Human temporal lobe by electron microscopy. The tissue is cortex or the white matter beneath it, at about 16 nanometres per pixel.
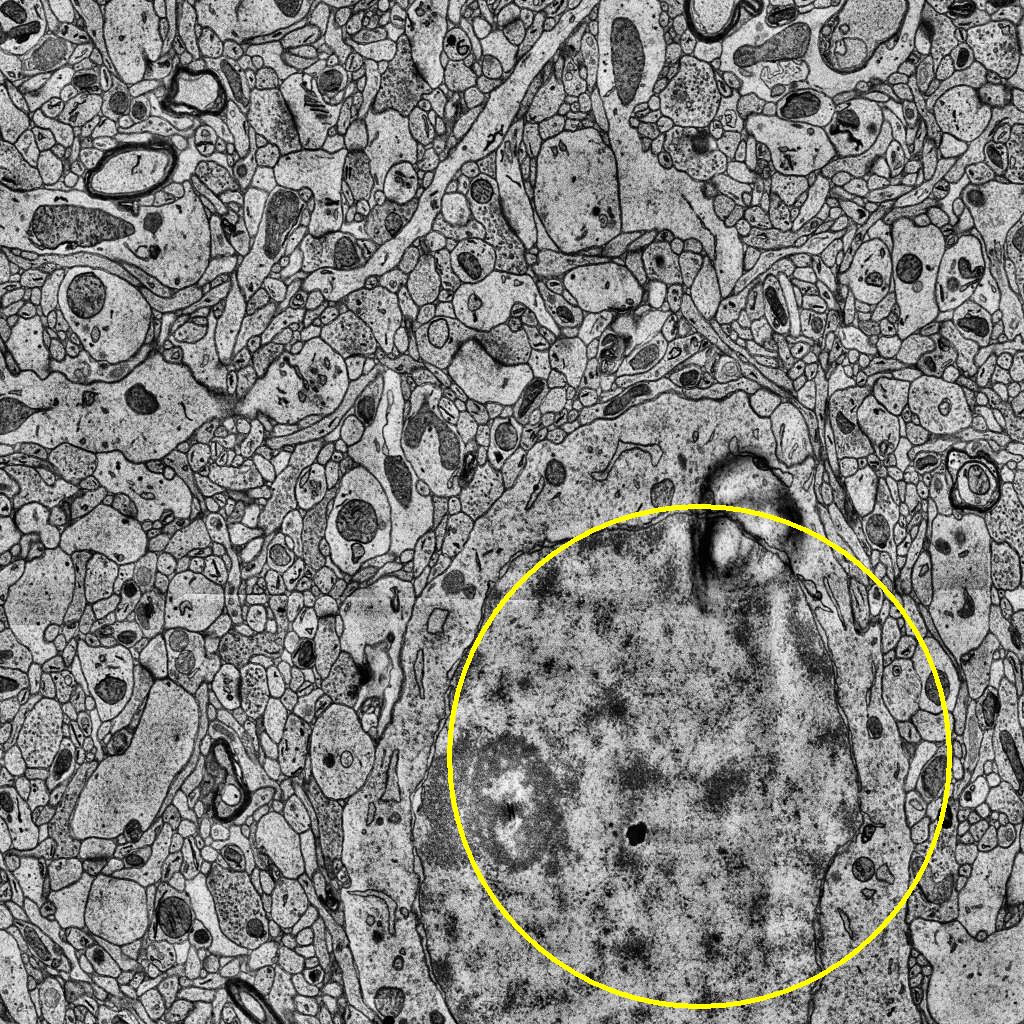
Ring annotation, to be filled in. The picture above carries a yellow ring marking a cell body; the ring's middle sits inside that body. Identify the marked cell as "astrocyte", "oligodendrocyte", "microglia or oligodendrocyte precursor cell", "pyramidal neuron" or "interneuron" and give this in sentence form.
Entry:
The cell at the middle of the ring is an interneuron.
